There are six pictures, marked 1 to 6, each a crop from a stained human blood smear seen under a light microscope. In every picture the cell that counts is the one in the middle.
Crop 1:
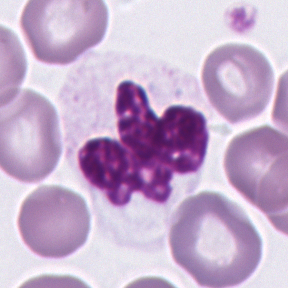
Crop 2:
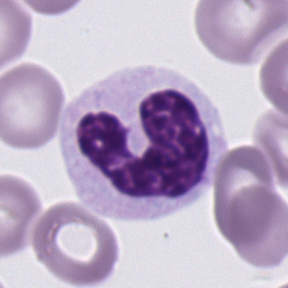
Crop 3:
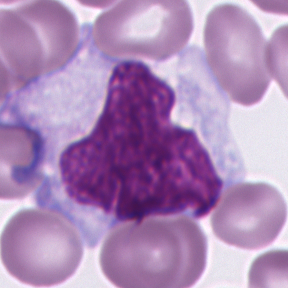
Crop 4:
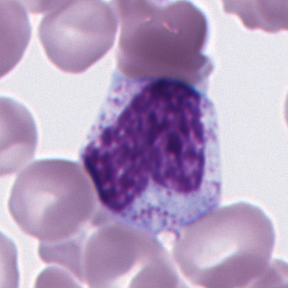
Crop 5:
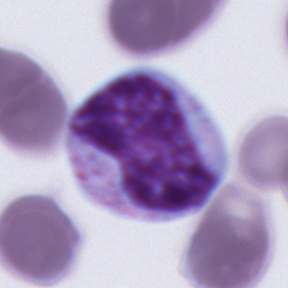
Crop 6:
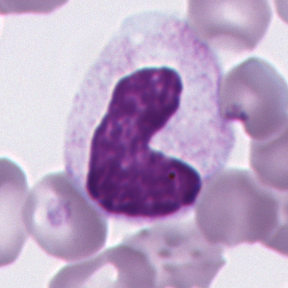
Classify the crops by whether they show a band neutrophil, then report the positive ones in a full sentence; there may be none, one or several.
With regard to crops 2, 4, 5 and 6, the central cells are band neutrophils.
